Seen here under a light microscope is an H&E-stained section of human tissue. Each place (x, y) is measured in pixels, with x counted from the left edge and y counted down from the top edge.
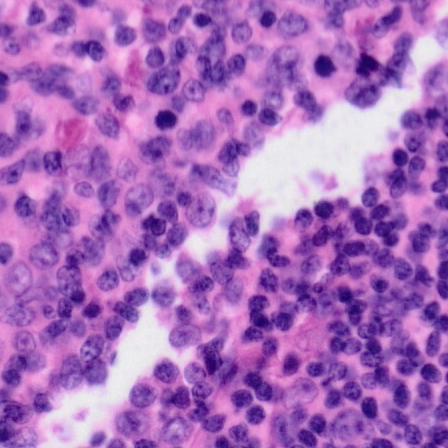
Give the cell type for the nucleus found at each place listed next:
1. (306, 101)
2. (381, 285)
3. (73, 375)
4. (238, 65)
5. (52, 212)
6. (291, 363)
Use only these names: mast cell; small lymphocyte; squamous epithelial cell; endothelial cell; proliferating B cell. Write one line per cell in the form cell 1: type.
cell 1: proliferating B cell
cell 2: small lymphocyte
cell 3: proliferating B cell
cell 4: proliferating B cell
cell 5: proliferating B cell
cell 6: endothelial cell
